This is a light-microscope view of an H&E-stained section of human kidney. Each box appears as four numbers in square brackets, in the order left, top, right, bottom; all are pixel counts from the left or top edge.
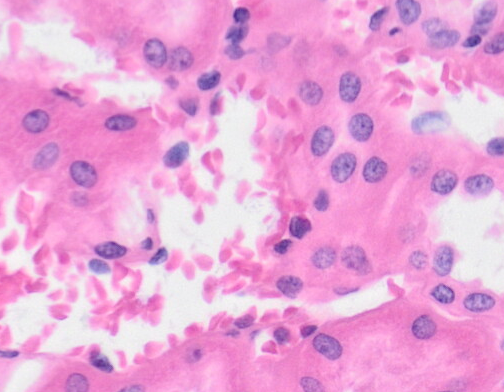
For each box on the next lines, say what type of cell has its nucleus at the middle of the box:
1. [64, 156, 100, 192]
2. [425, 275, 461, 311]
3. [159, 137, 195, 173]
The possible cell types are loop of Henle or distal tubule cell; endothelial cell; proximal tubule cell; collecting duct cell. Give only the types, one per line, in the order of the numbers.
proximal tubule cell
collecting duct cell
endothelial cell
